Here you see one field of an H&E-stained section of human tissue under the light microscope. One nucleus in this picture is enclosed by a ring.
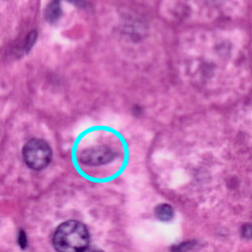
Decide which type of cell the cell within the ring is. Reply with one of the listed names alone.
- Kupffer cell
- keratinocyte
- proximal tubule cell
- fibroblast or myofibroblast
Kupffer cell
